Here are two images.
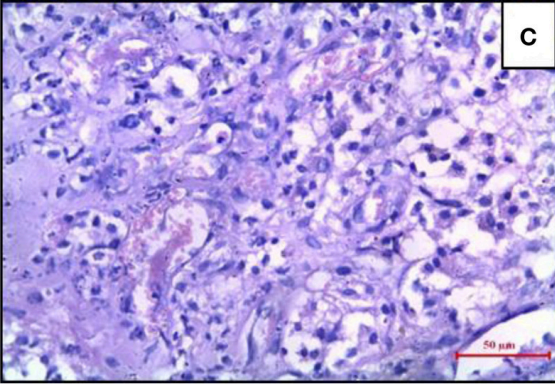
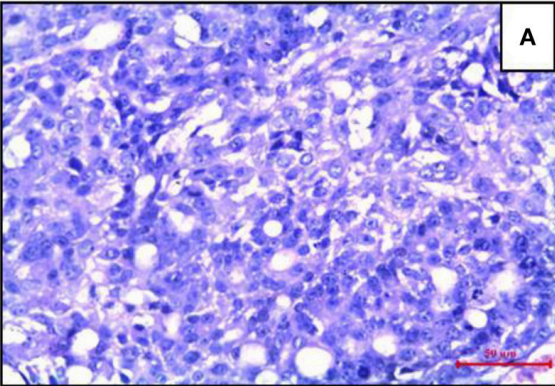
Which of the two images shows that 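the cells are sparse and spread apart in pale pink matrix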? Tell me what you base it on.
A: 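The first image. First image: scattered cells separated by wide areas of pale pink material. Second image: closely packed sheets of dark-nucleated cells with little space between them.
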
